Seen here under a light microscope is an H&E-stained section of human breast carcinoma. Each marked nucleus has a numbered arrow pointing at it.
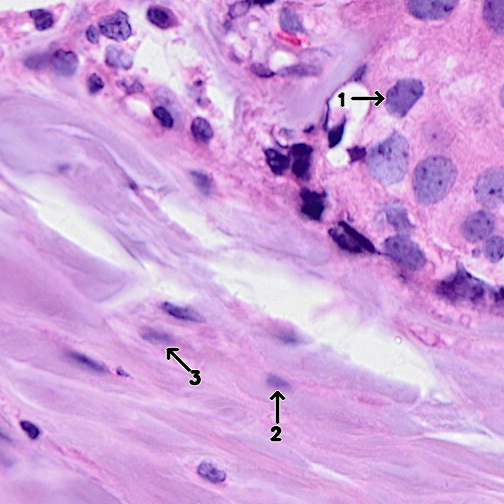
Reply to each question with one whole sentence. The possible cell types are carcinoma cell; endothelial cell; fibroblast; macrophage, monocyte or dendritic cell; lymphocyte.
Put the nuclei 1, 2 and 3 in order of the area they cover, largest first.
Largest first, the order by area is 1, 3, 2.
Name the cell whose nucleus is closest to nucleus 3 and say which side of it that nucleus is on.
Lying above and to the right of nucleus 3, the nearest nucleus is that of a fibroblast.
